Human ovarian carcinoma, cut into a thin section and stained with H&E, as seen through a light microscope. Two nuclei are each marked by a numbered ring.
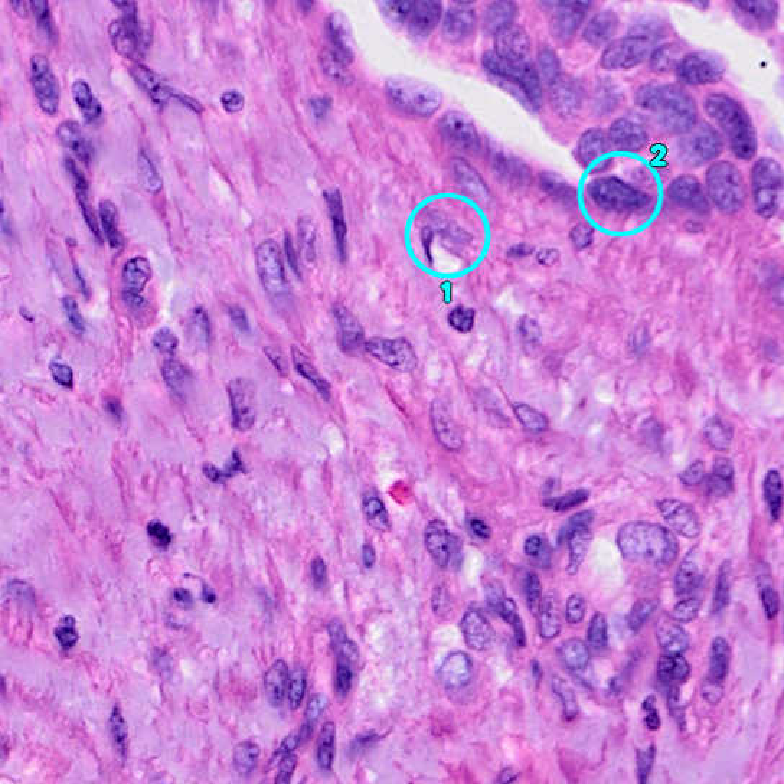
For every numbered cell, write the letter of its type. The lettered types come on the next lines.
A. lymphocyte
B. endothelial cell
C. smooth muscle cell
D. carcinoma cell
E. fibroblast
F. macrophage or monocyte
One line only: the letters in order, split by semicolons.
E; D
